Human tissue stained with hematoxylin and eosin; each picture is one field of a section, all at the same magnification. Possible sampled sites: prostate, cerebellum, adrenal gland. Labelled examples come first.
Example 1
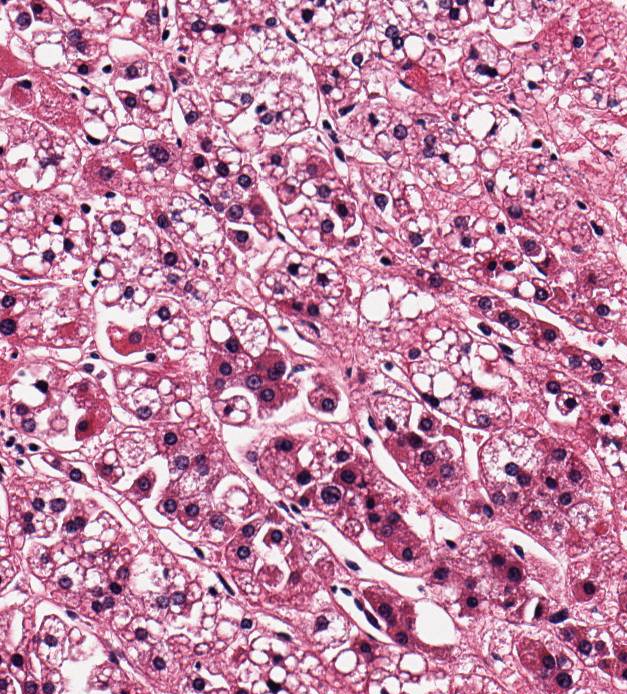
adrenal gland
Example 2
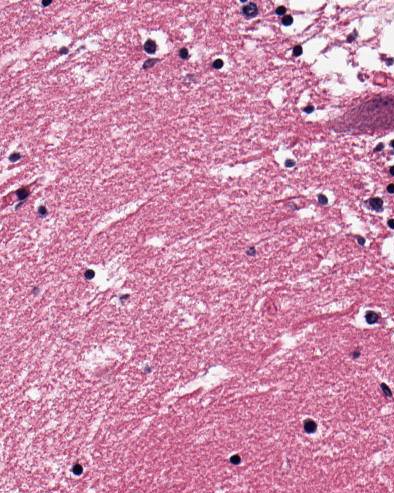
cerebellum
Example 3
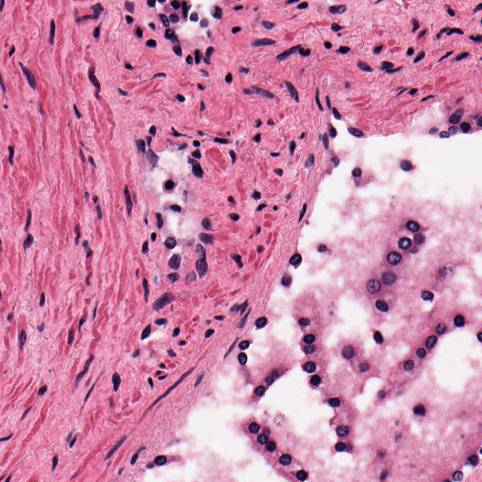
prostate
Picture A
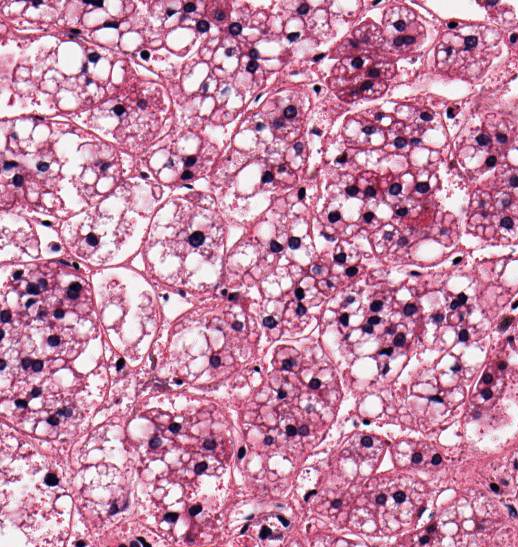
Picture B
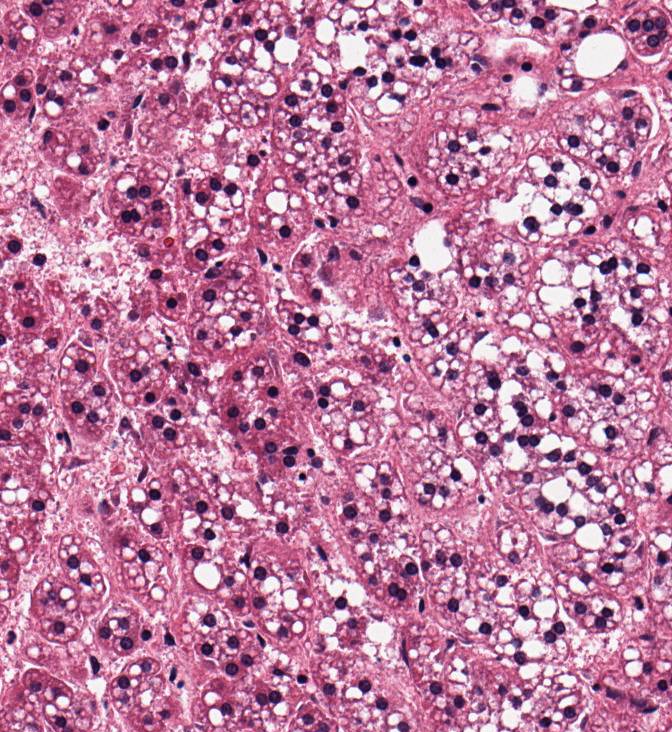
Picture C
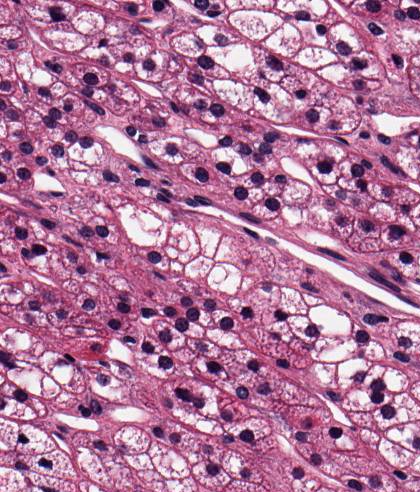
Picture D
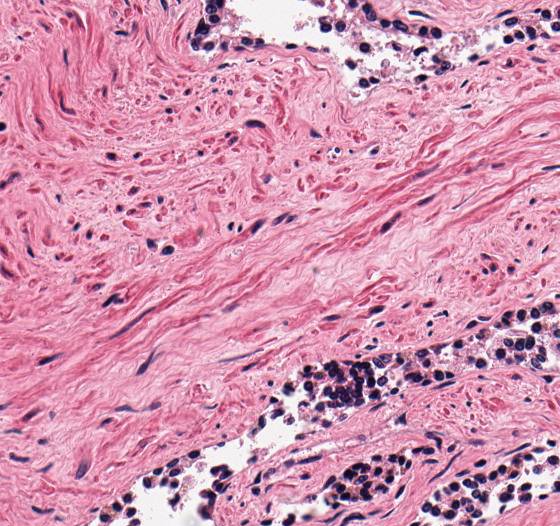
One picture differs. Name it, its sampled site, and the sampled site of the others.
D (prostate) is the exception; every other picture is adrenal gland.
